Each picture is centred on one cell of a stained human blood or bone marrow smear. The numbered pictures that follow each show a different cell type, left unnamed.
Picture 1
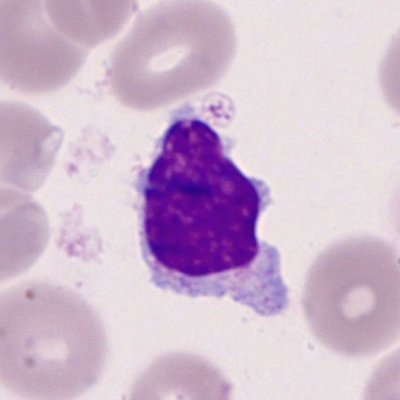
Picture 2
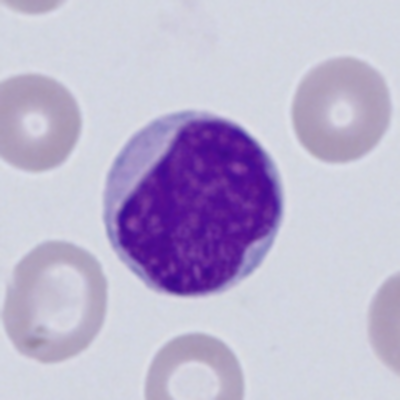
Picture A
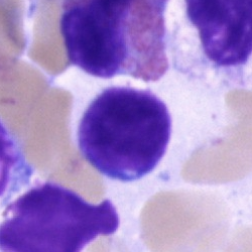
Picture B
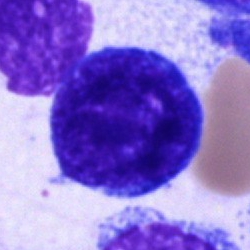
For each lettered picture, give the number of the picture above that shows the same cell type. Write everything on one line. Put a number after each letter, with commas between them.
A 1, B 2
